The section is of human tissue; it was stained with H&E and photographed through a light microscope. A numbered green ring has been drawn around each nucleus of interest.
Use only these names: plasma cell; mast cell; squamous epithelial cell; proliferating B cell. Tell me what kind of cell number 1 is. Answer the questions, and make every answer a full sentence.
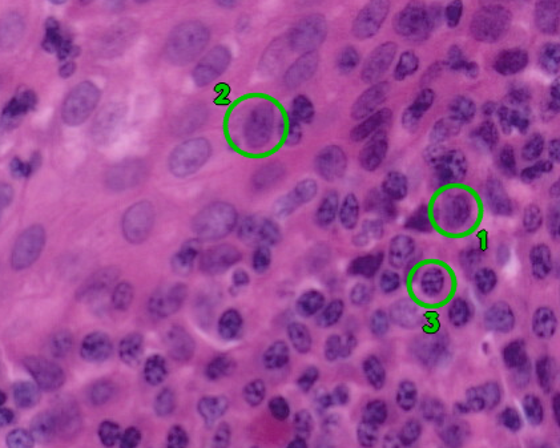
The numbered cell 1 in this field is a squamous epithelial cell.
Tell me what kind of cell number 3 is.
The cell that goes by number 3 is a plasma cell.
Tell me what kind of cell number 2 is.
Of the numbered cells, the one labelled 2 is a squamous epithelial cell.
